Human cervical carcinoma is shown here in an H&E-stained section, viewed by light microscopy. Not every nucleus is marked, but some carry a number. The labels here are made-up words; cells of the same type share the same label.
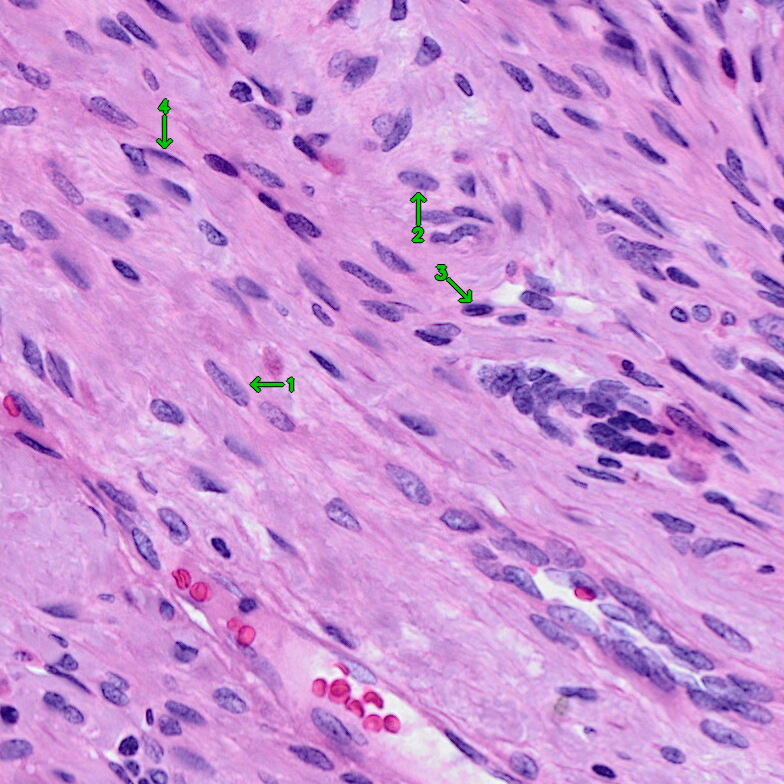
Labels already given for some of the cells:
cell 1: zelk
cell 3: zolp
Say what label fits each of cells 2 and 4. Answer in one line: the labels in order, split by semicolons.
zelk; zelk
